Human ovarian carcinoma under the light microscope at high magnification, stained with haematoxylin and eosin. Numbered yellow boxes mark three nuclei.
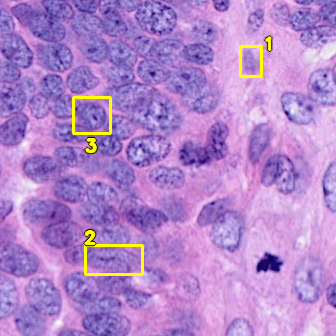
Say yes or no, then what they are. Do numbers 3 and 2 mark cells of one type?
Yes, the pair formed by cells 3 and 2 consists of two carcinoma cells.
